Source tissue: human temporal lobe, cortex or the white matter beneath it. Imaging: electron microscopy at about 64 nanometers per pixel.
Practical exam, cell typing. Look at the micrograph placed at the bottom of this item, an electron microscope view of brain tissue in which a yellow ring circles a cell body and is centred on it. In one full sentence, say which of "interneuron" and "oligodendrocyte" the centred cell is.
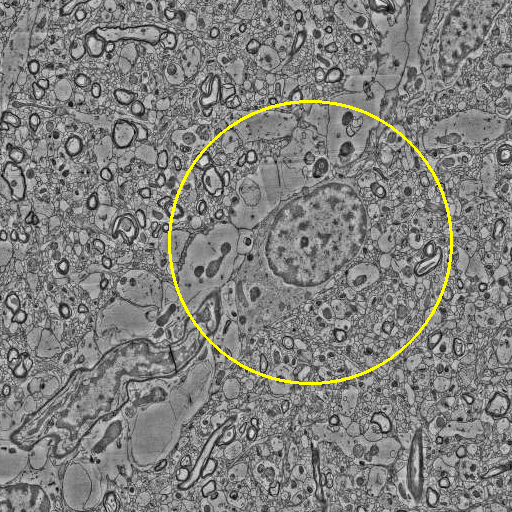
Given the options, an oligodendrocyte fits the cell whose body the yellow ring is centred on.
